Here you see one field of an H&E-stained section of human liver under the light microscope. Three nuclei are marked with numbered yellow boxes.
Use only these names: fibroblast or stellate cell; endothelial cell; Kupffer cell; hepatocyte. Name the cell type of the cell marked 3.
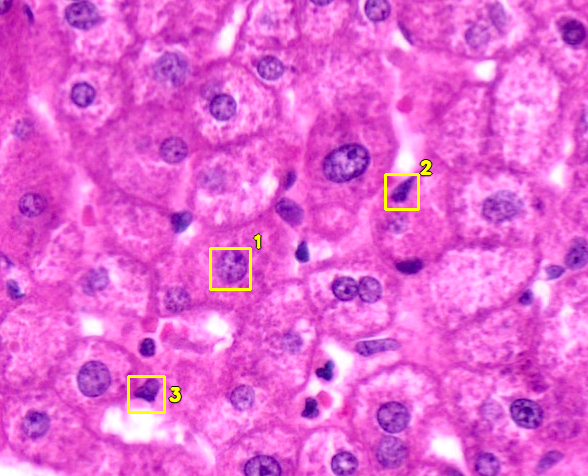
endothelial cell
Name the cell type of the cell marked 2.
fibroblast or stellate cell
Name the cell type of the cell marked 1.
hepatocyte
